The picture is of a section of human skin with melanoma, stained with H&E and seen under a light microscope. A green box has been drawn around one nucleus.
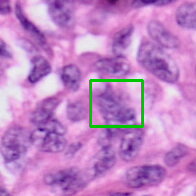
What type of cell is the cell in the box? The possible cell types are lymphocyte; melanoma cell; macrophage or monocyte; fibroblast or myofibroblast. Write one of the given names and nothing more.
melanoma cell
